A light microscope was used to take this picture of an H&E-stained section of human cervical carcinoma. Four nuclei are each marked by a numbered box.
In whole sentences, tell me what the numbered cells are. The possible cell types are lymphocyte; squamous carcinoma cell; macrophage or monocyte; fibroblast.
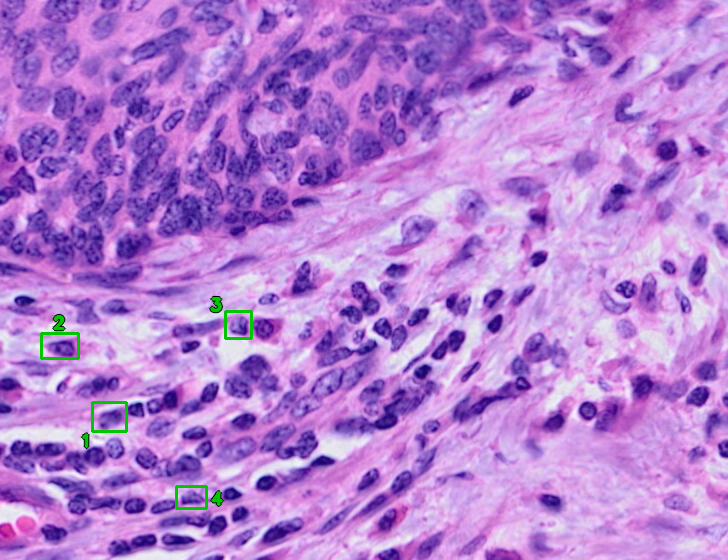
Cells 1, 3 and 4 are lymphocytes. Cell 2 is a macrophage or monocyte.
